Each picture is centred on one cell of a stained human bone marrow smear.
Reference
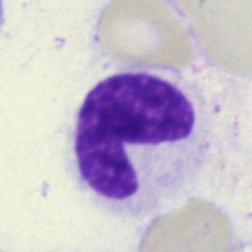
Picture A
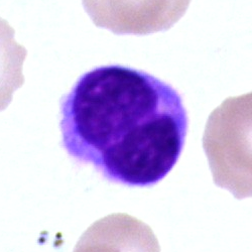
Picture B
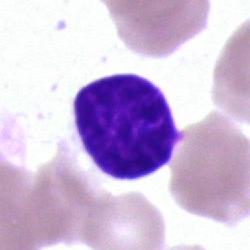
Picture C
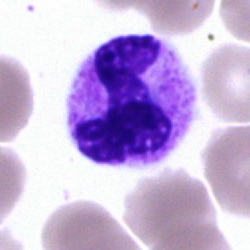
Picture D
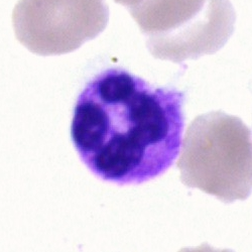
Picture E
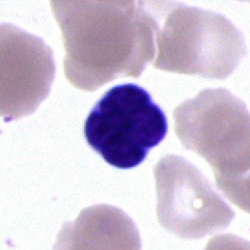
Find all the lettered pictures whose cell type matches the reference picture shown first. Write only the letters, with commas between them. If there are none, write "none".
none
